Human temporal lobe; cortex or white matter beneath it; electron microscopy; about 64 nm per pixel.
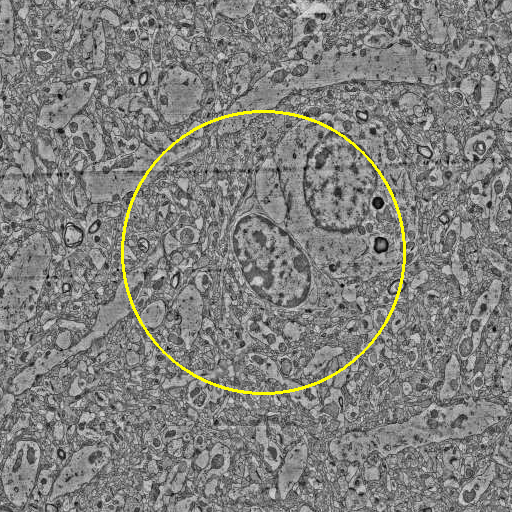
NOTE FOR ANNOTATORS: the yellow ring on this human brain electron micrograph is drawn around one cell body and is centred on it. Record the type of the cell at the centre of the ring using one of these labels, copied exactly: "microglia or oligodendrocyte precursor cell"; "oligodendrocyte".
microglia or oligodendrocyte precursor cell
